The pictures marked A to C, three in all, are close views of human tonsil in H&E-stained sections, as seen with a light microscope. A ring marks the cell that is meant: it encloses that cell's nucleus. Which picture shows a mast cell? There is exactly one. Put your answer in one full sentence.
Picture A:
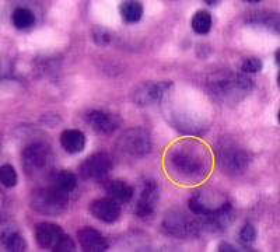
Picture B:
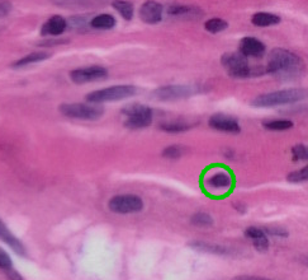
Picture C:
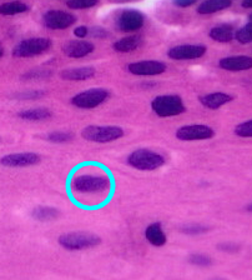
The cell in picture B is the mast cell.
